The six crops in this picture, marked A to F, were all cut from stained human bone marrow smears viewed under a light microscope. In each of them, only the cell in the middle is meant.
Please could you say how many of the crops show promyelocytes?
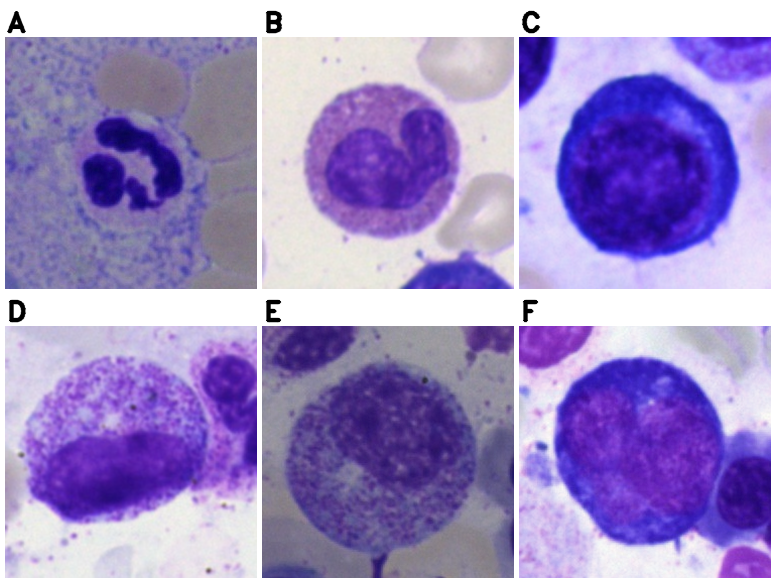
2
